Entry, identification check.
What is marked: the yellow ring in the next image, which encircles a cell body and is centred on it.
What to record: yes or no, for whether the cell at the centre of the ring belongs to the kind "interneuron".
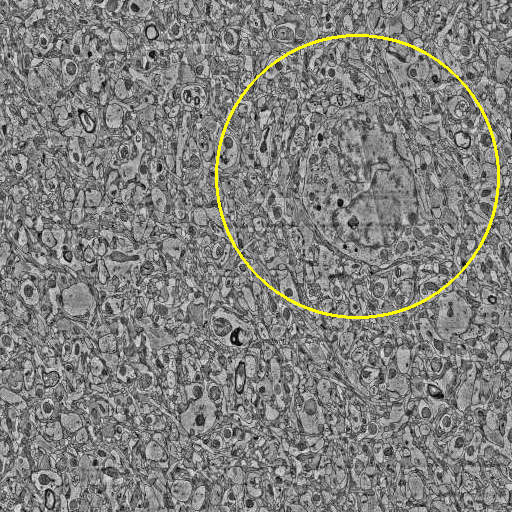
Yes, it belongs to that kind.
